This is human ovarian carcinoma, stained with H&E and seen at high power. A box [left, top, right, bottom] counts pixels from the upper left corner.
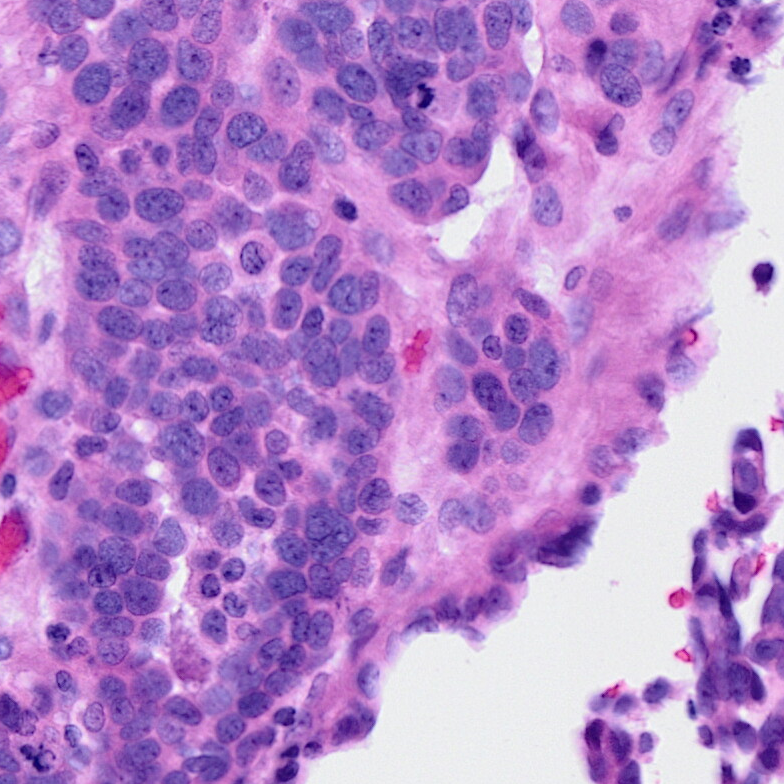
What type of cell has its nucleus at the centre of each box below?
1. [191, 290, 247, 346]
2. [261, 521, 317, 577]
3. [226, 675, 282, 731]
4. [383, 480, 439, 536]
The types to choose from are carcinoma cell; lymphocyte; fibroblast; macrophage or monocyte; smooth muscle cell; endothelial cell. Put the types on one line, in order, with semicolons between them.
carcinoma cell; carcinoma cell; carcinoma cell; fibroblast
